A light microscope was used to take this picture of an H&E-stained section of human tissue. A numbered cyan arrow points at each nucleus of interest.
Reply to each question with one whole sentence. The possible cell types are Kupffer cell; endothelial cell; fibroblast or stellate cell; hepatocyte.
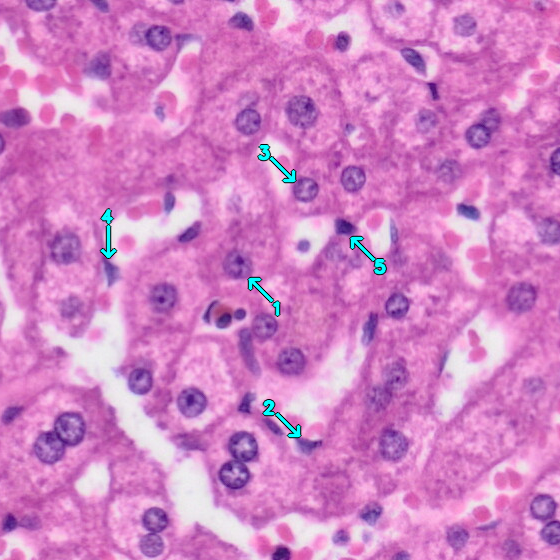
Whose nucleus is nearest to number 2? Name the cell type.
The cell nearest to number 2 is a fibroblast or stellate cell.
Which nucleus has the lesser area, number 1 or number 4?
Nucleus 4 is the smaller one; nucleus 1 covers about 2.5 times its area.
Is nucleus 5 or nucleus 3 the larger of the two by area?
Nucleus 3 is larger, with an area about 2 times that of nucleus 5.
